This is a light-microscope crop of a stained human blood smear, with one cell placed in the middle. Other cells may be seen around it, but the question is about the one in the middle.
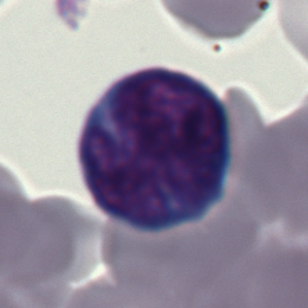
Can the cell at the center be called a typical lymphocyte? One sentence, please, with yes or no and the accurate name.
Yes, the cell in the middle is recognised as a typical lymphocyte.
